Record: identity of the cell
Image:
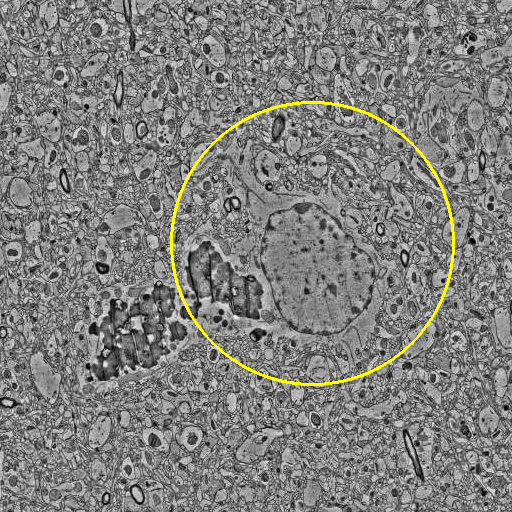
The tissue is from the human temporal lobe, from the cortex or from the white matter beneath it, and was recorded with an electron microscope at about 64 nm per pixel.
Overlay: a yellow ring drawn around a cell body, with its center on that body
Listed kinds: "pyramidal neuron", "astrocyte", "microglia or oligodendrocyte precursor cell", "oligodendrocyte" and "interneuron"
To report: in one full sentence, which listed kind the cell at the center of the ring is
In the image, the cell body at the ring's center belongs to an astrocyte.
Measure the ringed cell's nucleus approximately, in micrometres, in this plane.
The nucleus appears roughly 9 by 7 micrometres in this plane.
